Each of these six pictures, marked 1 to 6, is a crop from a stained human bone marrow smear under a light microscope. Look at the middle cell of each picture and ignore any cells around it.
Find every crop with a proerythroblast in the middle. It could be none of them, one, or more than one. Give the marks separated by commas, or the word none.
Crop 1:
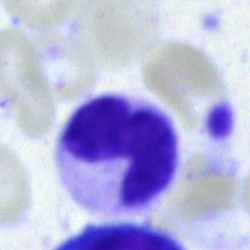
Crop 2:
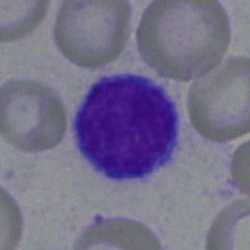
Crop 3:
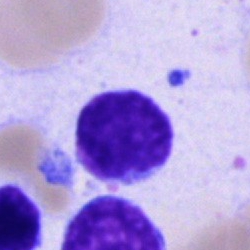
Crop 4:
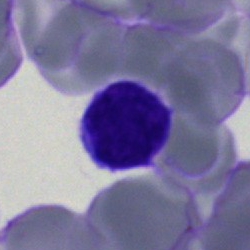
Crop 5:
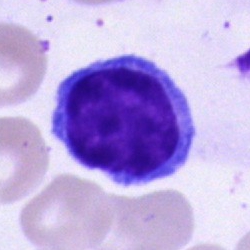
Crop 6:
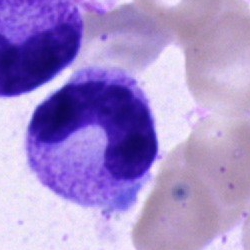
none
